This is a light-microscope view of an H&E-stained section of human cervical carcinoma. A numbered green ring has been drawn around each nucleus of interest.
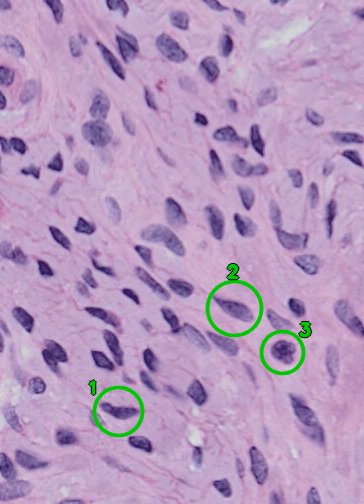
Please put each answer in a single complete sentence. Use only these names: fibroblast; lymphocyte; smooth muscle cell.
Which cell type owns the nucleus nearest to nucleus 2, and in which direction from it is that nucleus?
A fibroblast lies closest, below nucleus 2.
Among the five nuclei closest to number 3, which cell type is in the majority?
Fibroblasts make up most of the five nuclei closest to number 3.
